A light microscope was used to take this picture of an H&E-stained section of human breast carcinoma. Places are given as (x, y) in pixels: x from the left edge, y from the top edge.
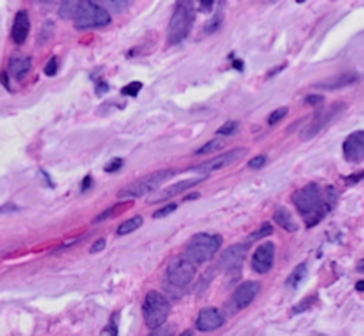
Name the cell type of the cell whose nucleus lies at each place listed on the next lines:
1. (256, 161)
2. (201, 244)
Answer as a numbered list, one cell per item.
1. endothelial cell
2. carcinoma cell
